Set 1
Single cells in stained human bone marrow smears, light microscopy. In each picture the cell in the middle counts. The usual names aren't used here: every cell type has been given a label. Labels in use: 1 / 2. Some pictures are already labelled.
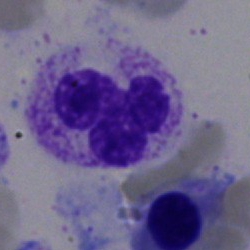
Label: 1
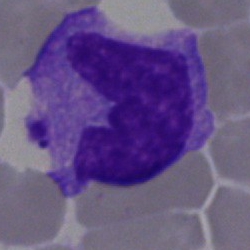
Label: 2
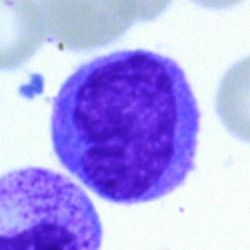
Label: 2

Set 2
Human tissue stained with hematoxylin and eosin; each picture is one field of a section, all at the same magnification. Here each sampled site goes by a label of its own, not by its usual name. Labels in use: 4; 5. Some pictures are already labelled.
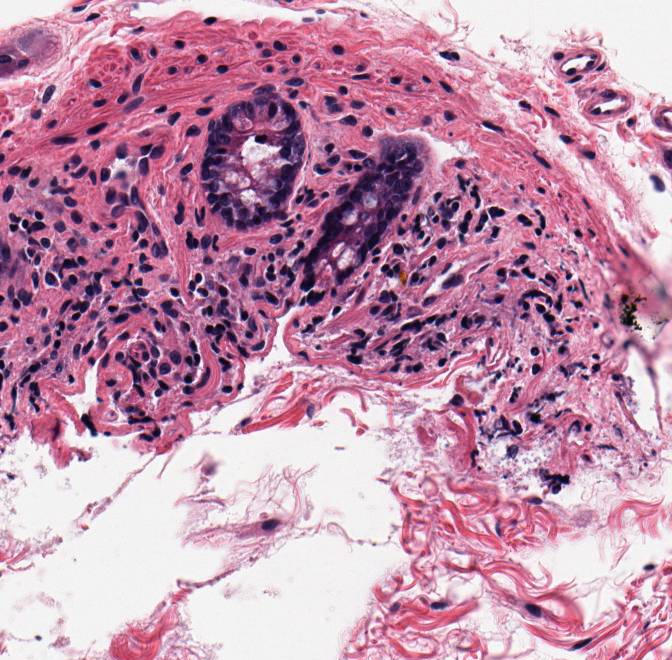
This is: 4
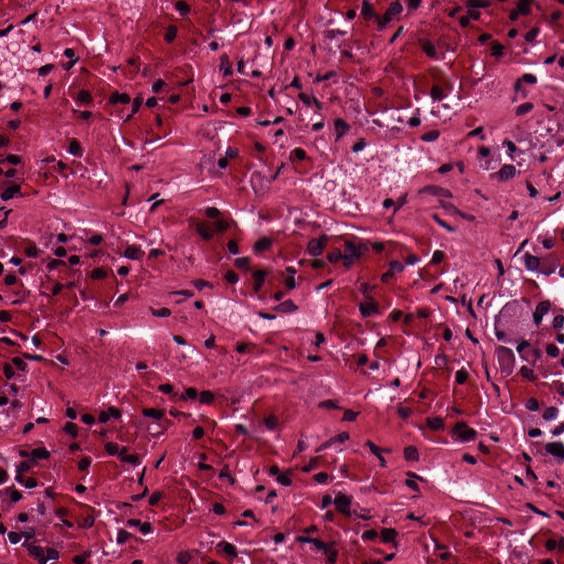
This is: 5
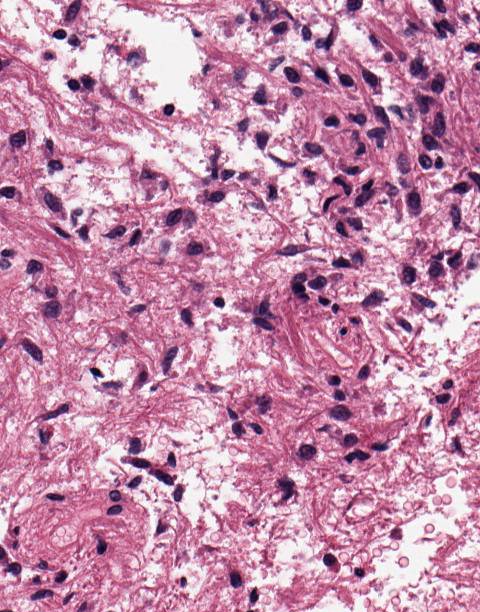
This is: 5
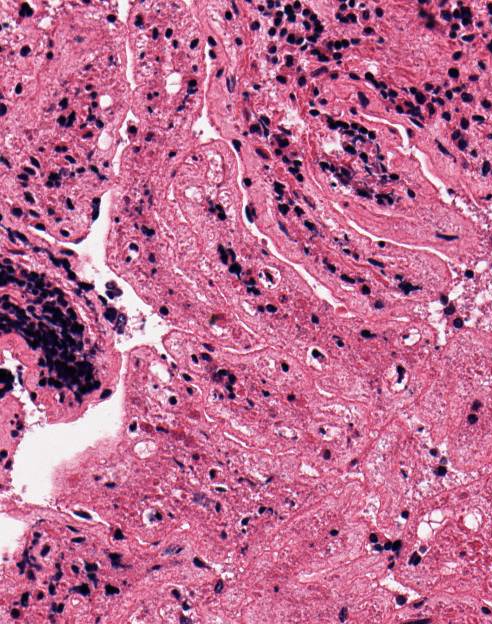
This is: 4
